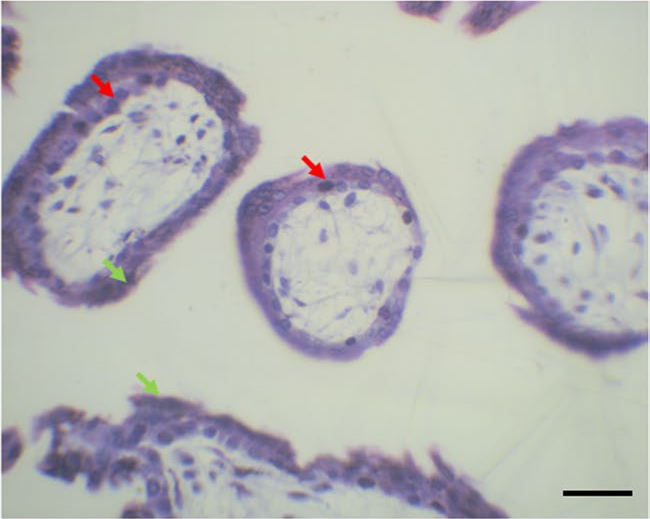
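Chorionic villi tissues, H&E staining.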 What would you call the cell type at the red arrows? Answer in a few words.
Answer: Villous trophoblast cells.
